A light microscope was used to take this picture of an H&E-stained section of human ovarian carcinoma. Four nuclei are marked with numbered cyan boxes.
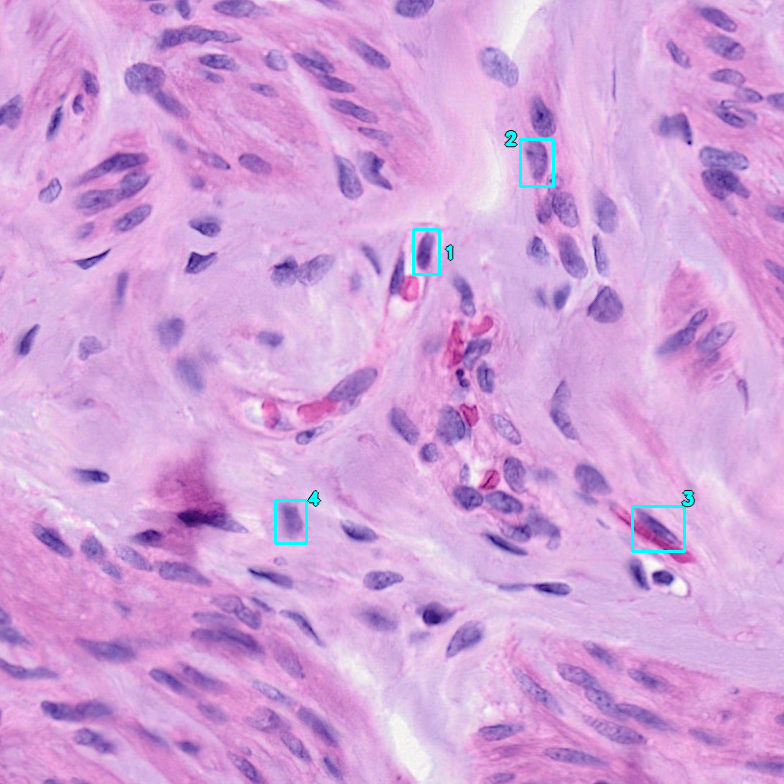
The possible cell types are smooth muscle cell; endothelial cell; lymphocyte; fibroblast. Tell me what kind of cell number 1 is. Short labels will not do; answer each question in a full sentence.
Cell number 1 in this section is an endothelial cell.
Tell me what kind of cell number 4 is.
Cell 4 should be recorded as a fibroblast.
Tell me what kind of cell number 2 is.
It is as an endothelial cell that the cell numbered 2 is identified.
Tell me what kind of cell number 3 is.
Numbered cell 3 is an endothelial cell in this tissue section.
